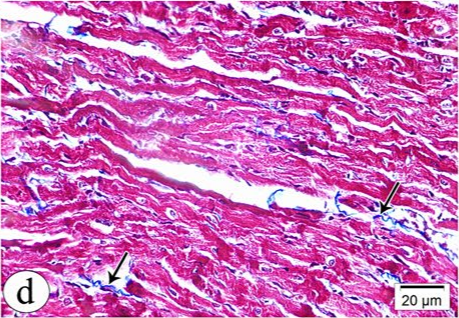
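Here the cardiac muscle fibers are stained pinkish red and run in wavy, roughly parallel rows with small dark nuclei among them. Pale clefts open between groups of fibers, and along these gaps lie wispy blue strands of collagen.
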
